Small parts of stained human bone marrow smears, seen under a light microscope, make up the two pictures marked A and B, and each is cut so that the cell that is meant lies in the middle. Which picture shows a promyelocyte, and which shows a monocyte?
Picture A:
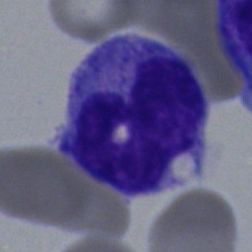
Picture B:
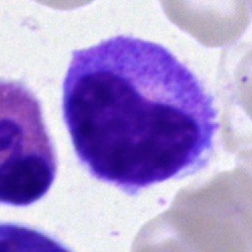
A: monocyte
B: promyelocyte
